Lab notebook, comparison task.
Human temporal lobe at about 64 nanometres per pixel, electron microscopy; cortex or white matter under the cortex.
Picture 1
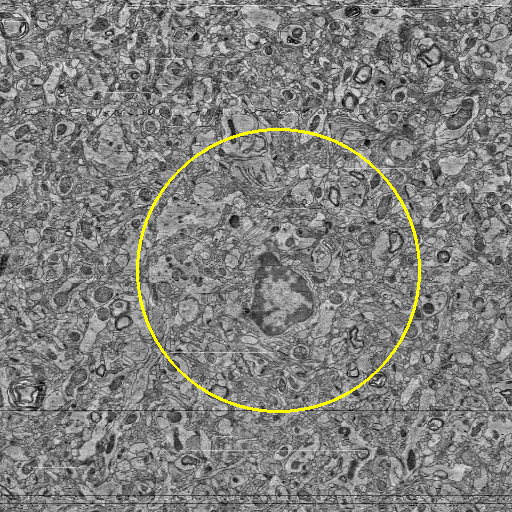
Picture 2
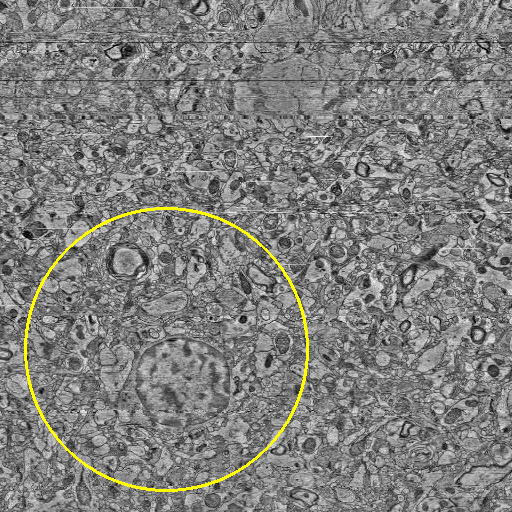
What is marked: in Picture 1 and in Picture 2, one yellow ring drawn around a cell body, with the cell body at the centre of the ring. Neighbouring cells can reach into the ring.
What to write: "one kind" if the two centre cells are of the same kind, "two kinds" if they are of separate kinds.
two kinds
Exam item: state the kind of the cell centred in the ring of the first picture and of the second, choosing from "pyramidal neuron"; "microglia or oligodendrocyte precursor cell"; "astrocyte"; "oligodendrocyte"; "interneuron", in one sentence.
The first picture shows a microglial cell or oligodendrocyte precursor cell at the ring centre and the second shows an oligodendrocyte.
